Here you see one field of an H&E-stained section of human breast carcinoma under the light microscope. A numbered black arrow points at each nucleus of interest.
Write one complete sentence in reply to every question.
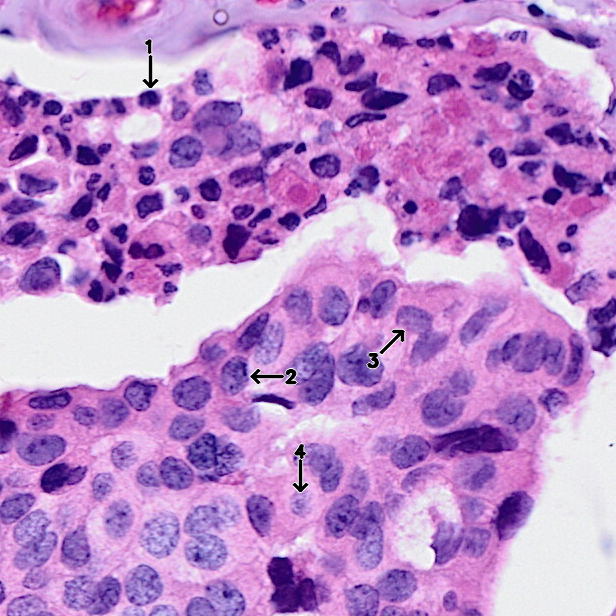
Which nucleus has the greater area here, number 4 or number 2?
The larger nucleus is 2, at roughly 3 times the area of 4.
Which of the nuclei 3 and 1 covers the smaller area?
Nucleus 1 covers less area, with nucleus 3 about 2 times as large.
